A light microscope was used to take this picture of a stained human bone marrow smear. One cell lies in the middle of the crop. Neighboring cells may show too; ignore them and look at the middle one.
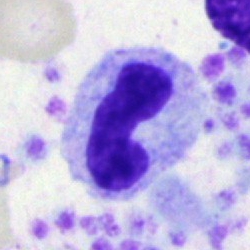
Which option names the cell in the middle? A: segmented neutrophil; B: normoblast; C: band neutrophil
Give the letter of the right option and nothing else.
C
